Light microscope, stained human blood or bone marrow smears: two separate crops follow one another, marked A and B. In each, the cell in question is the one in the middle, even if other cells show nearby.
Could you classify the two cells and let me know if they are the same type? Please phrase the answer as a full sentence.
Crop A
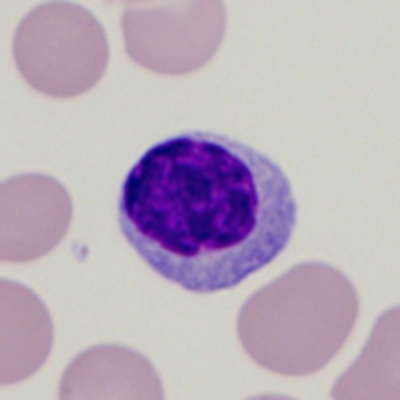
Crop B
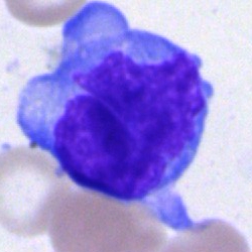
No, crop A is of a lymphocyte, and crop B is of a blast.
